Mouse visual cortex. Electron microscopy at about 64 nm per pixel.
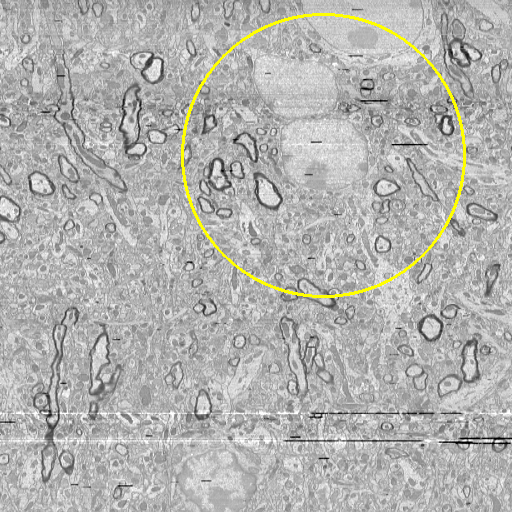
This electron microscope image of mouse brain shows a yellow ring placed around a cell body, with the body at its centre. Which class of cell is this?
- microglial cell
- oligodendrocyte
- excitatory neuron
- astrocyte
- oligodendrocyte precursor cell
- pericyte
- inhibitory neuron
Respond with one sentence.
The cell body at the ring's centre is an astrocyte.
